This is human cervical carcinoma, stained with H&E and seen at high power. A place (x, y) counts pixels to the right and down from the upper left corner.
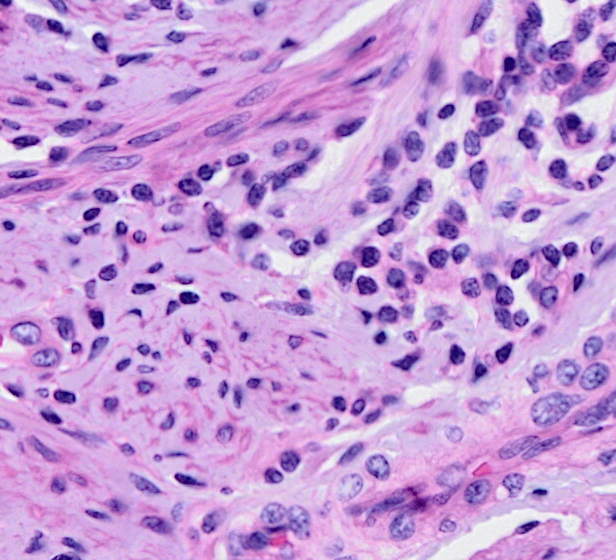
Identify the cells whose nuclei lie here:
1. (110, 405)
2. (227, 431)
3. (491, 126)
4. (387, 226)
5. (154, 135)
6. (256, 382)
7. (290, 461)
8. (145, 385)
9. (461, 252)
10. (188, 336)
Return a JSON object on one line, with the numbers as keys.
{"1": "smooth muscle cell", "2": "smooth muscle cell", "3": "lymphocyte", "4": "lymphocyte", "5": "smooth muscle cell", "6": "smooth muscle cell", "7": "lymphocyte", "8": "smooth muscle cell", "9": "lymphocyte", "10": "smooth muscle cell"}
